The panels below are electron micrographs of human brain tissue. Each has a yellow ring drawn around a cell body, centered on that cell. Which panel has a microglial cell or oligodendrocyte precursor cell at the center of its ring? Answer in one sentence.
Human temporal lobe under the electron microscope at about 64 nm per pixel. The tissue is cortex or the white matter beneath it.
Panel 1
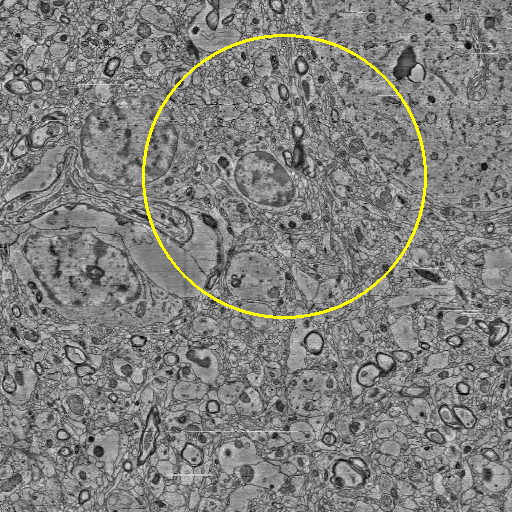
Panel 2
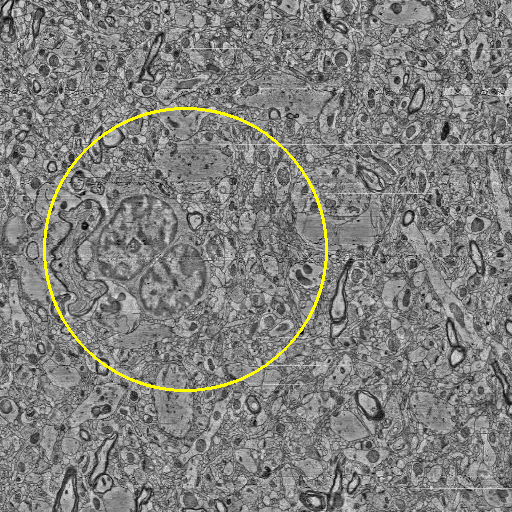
Panel 1 has it at the center of its ring.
